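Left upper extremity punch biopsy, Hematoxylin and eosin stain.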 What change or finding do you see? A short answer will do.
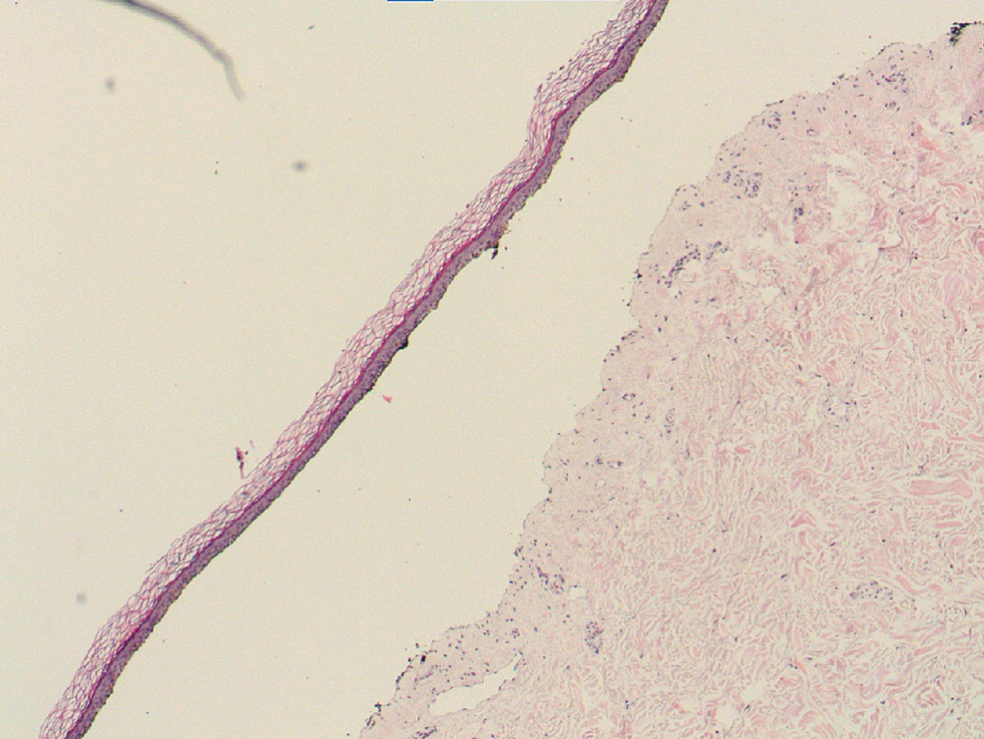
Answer: Pauci-inflammatory subepidermal blister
